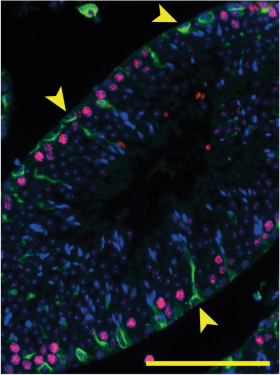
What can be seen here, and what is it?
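This is part of a seminiferous tubule with Sertoli cells at its base and many germ cells above them. The Sertoli cells, marked by arrowheads, have green cytoplasm sitting at the basal edge, with slender green processes reaching up toward the lumen. Their nuclei appear blue without red. Scattered rounded nuclei stained red lie within the epithelium, while most of the many small nuclei are blue. The lumen lies toward the middle of the section.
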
